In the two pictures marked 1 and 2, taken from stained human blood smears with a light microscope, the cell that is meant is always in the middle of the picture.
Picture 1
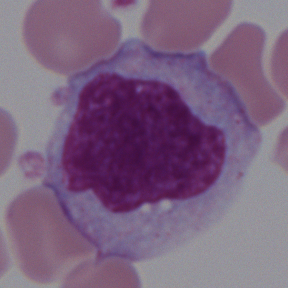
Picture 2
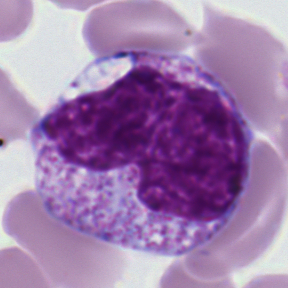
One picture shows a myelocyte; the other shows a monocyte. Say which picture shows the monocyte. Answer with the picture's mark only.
1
